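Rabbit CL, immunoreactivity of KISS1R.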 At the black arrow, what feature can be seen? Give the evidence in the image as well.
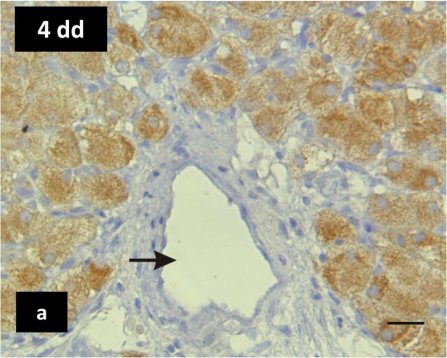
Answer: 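The arrow points into an open, empty lumen. The lumen is lined by flat, elongated cells within a rim of fibrous tissue. The wall around the lumen is blue and unstained, unlike the brown cells around it.
Conclusion: Blood vessels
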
